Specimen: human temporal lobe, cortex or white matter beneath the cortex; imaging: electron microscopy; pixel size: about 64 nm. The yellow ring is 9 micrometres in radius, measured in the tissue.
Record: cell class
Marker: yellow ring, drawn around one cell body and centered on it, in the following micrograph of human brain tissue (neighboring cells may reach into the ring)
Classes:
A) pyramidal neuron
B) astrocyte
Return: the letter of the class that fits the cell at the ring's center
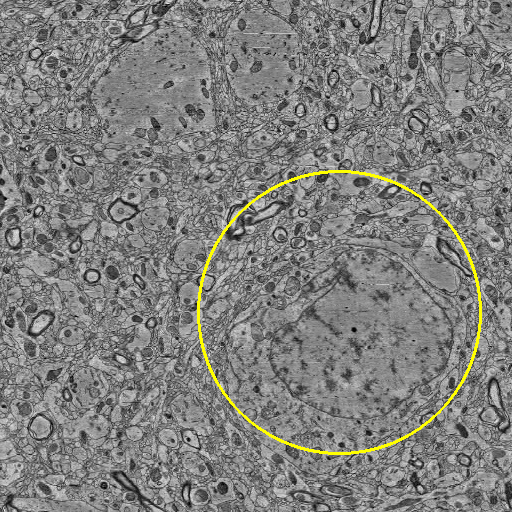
A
